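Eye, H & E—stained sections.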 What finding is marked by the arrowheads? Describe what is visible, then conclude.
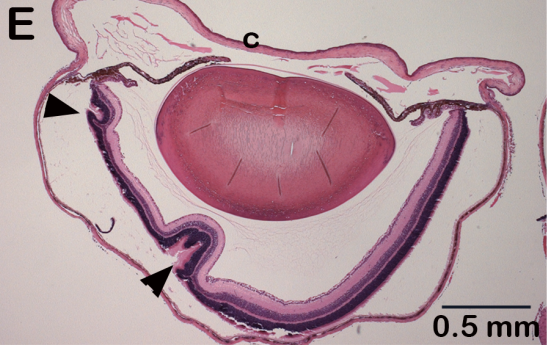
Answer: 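At each arrowhead the dark-purple retinal layer bends back on itself. Elsewhere the retina runs as a smooth continuous band around the eye. That points to this answer: retinal folds.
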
